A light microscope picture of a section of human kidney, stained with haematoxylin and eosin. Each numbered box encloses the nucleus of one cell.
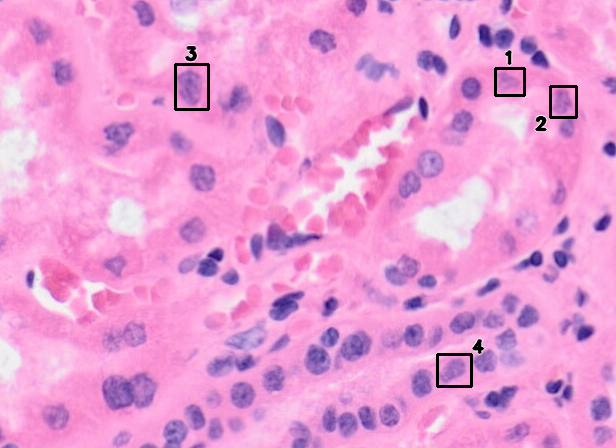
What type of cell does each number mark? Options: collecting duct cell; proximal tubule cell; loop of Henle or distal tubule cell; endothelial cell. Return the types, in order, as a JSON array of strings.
["proximal tubule cell", "proximal tubule cell", "proximal tubule cell", "collecting duct cell"]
